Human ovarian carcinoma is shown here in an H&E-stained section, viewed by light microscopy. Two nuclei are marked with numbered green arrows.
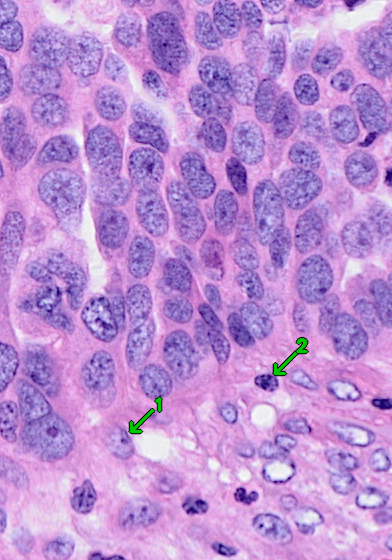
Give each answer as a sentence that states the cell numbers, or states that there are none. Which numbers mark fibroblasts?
Only at number 1 is there a fibroblast among the marked cells.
